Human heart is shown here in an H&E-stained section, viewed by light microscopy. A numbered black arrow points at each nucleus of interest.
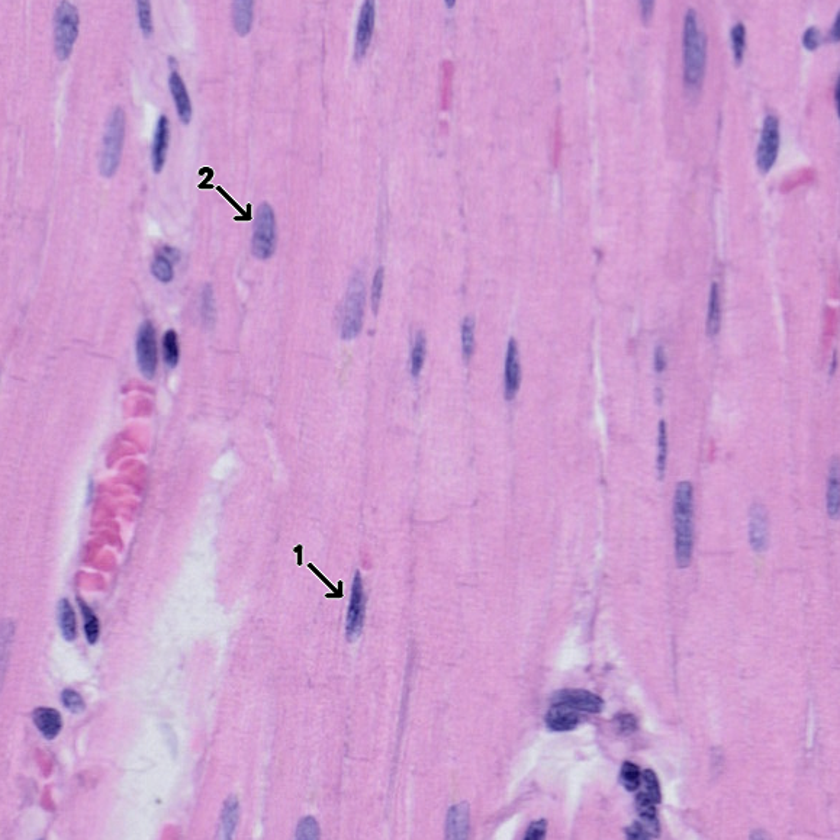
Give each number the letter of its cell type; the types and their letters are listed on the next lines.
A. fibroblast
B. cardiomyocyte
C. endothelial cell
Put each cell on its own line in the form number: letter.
1: C
2: B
